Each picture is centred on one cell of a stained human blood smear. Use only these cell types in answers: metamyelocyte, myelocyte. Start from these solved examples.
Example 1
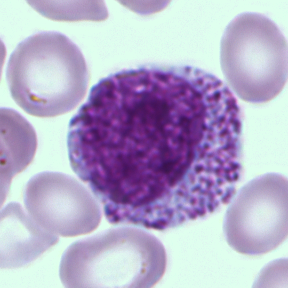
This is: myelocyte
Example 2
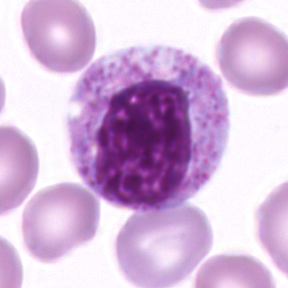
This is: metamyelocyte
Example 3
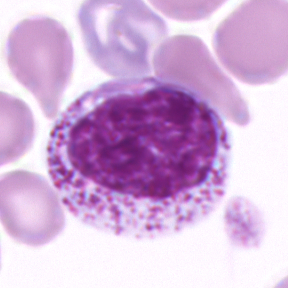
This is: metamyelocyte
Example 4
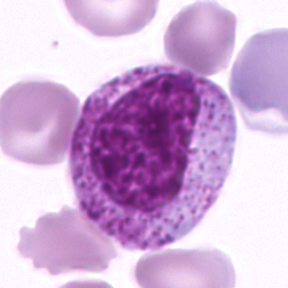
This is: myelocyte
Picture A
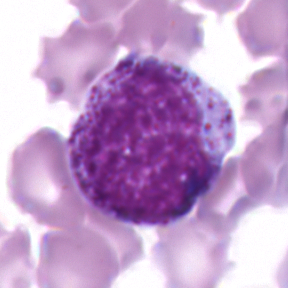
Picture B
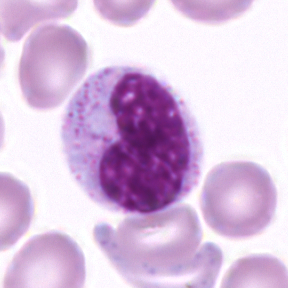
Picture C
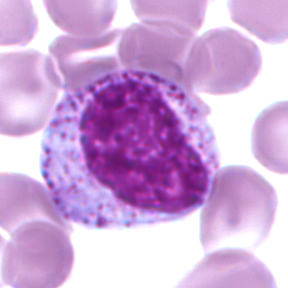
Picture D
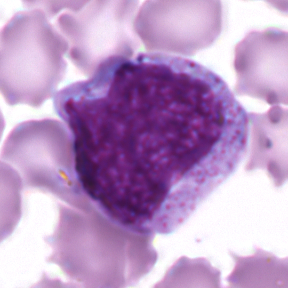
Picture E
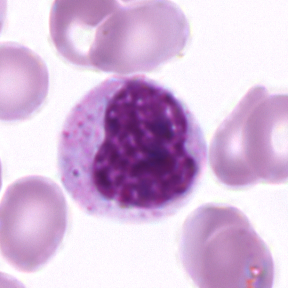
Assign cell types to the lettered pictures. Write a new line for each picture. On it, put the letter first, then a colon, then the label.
A: myelocyte
B: metamyelocyte
C: myelocyte
D: myelocyte
E: metamyelocyte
